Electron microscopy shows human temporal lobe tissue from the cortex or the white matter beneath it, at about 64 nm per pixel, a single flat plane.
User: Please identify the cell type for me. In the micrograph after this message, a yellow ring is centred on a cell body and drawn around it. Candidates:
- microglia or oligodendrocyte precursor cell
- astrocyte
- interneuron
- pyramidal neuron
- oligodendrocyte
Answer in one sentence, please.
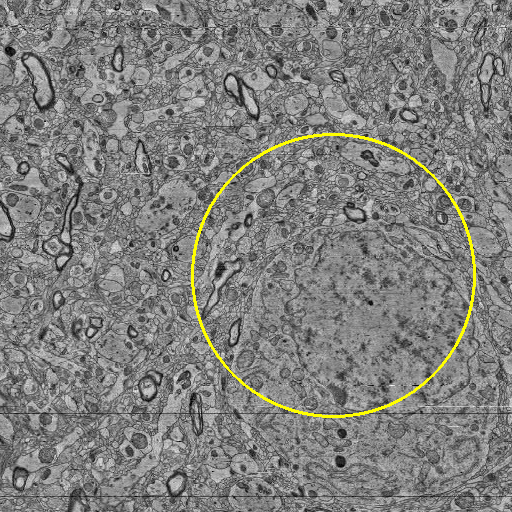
The ring is drawn around the cell body of an interneuron.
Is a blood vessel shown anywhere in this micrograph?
No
